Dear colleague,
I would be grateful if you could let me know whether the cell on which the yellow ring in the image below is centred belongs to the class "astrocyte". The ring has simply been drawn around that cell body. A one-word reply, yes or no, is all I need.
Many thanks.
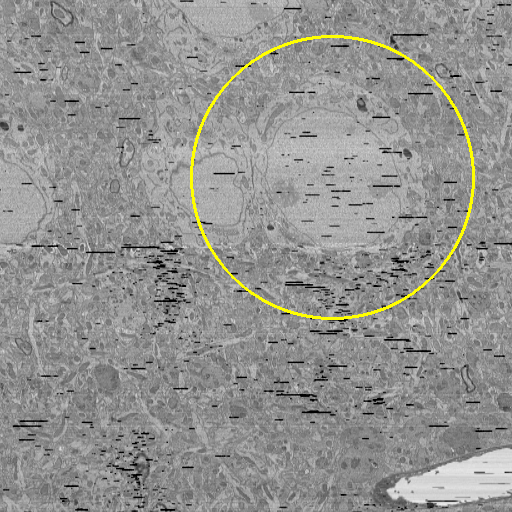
no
